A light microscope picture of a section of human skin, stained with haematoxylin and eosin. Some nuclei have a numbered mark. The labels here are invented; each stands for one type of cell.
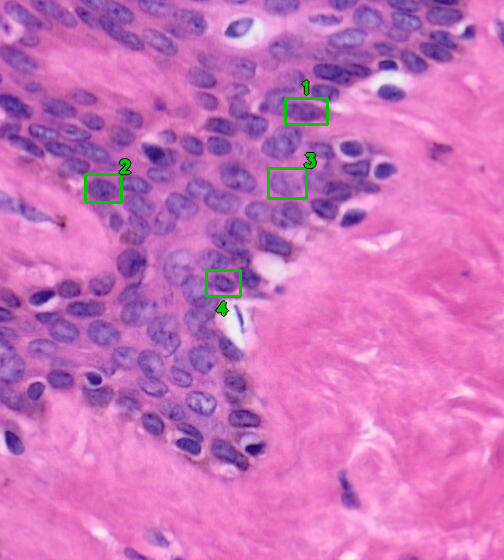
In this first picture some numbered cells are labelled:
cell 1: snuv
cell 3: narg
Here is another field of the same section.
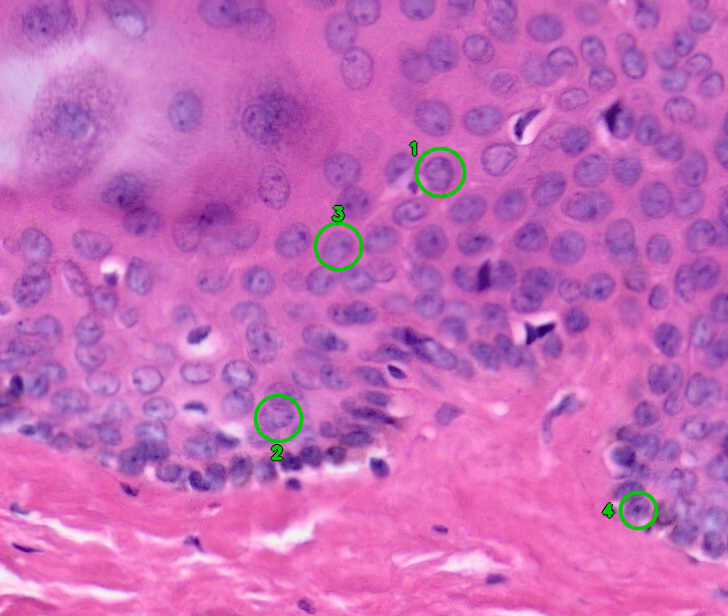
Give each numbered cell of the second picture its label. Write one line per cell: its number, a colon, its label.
1: narg
2: narg
3: narg
4: snuv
